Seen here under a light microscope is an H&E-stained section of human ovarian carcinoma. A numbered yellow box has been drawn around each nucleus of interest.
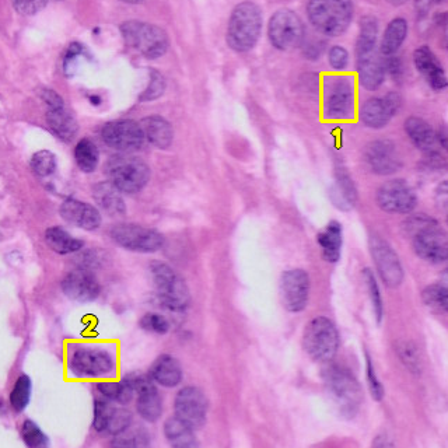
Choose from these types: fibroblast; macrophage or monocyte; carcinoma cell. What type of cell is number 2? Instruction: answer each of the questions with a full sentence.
The marked cell with the number 2 is recognised as a macrophage or monocyte.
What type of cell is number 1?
The cell numbered 1 represents a carcinoma cell.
